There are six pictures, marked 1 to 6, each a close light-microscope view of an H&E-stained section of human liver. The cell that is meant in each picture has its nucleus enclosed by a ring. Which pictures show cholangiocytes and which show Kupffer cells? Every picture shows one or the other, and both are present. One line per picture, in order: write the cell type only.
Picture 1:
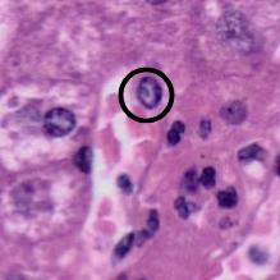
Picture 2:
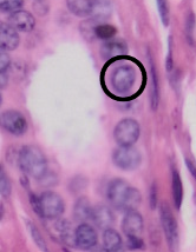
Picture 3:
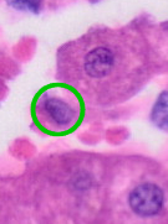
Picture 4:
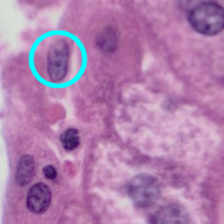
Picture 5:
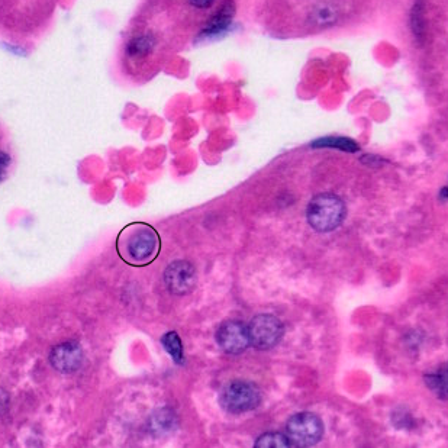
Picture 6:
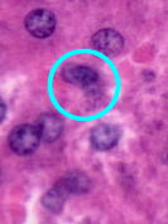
Kupffer cell
cholangiocyte
Kupffer cell
Kupffer cell
cholangiocyte
Kupffer cell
